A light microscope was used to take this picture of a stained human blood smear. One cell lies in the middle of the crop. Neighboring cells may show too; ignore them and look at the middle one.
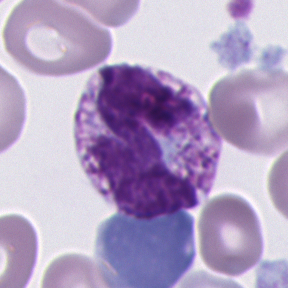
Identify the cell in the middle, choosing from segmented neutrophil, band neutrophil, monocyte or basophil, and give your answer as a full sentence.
Centrally within this crop lies a basophil.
